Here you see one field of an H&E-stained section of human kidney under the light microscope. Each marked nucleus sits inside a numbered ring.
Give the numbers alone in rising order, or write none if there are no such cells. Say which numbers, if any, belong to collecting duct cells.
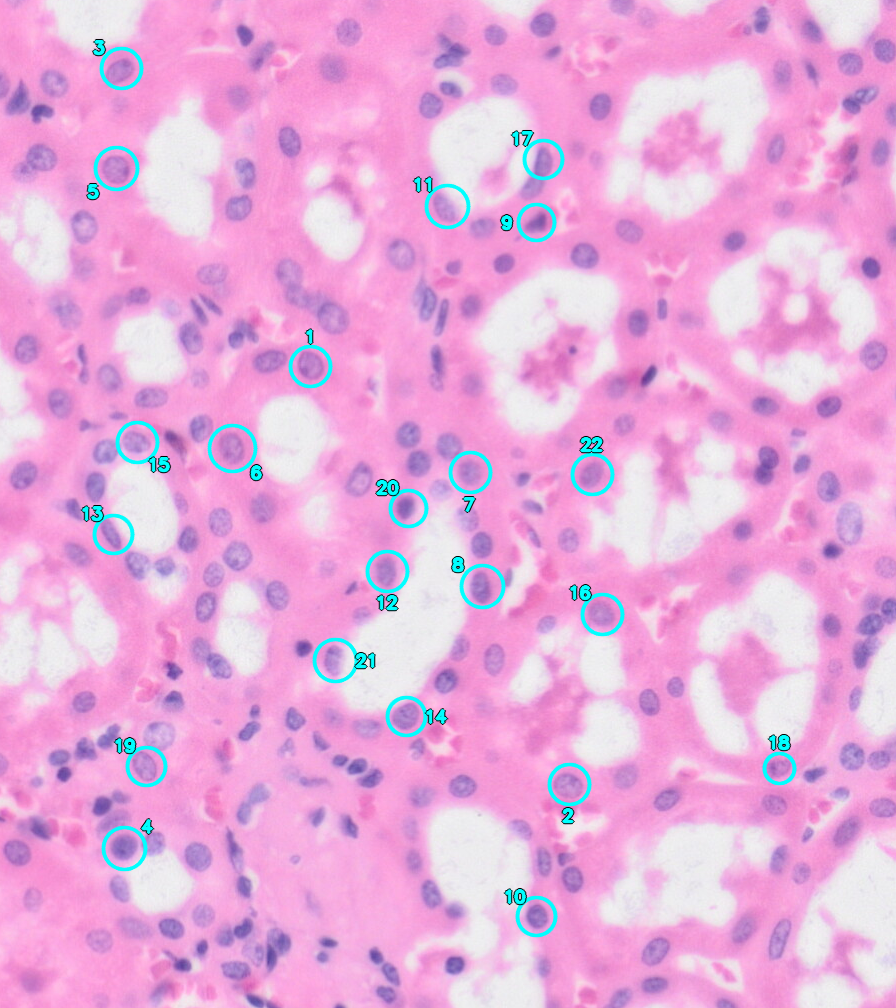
4, 13, 15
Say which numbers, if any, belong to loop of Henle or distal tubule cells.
7, 8, 10, 11, 12, 14, 17, 20, 21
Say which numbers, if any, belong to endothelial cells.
9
